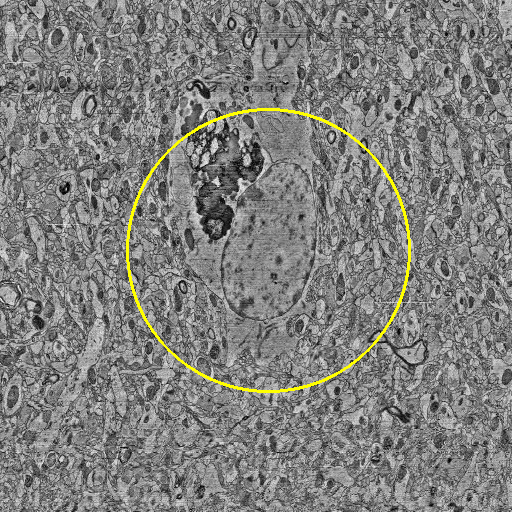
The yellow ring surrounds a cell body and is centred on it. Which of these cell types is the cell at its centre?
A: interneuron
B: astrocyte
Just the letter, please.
B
